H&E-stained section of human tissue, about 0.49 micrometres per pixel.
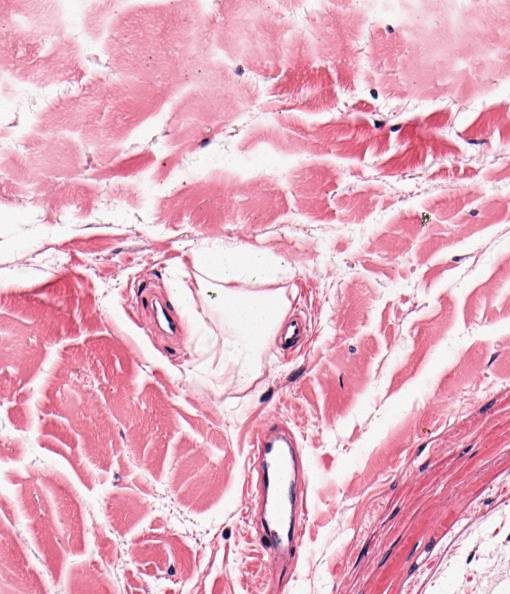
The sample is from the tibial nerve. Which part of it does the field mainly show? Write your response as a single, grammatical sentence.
This histology image has as its subject the part called epineurium.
